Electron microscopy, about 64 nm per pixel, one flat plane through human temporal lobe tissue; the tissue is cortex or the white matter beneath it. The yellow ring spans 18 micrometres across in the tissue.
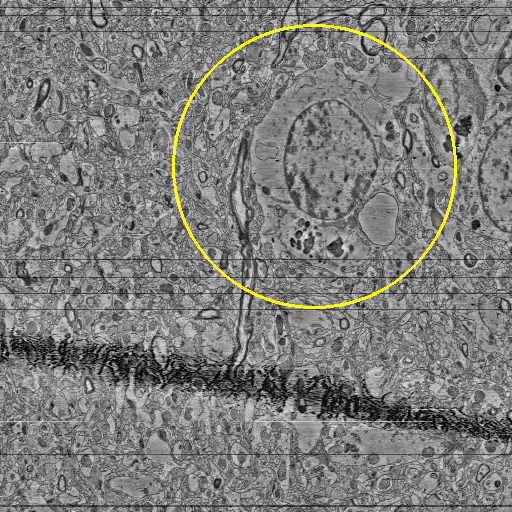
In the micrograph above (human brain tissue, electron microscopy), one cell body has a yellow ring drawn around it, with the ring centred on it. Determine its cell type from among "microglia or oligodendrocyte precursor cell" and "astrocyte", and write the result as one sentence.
The cell whose body is ringed is an astrocyte.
